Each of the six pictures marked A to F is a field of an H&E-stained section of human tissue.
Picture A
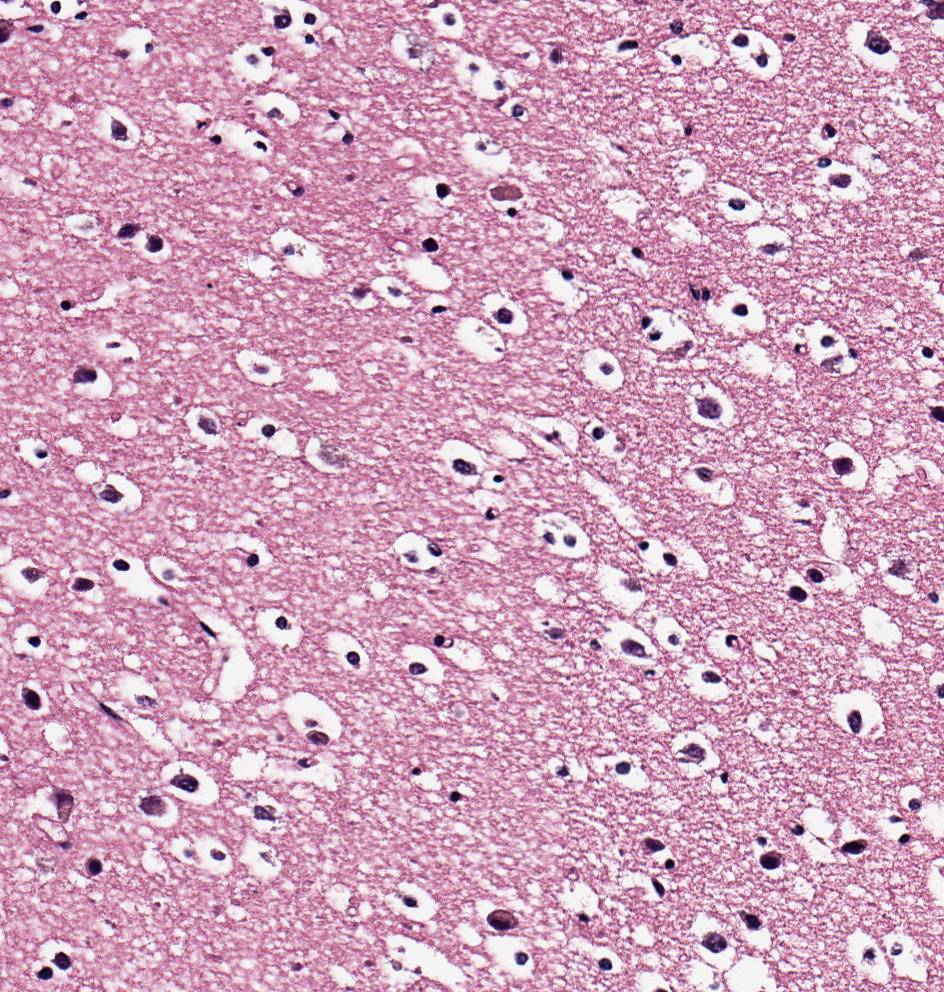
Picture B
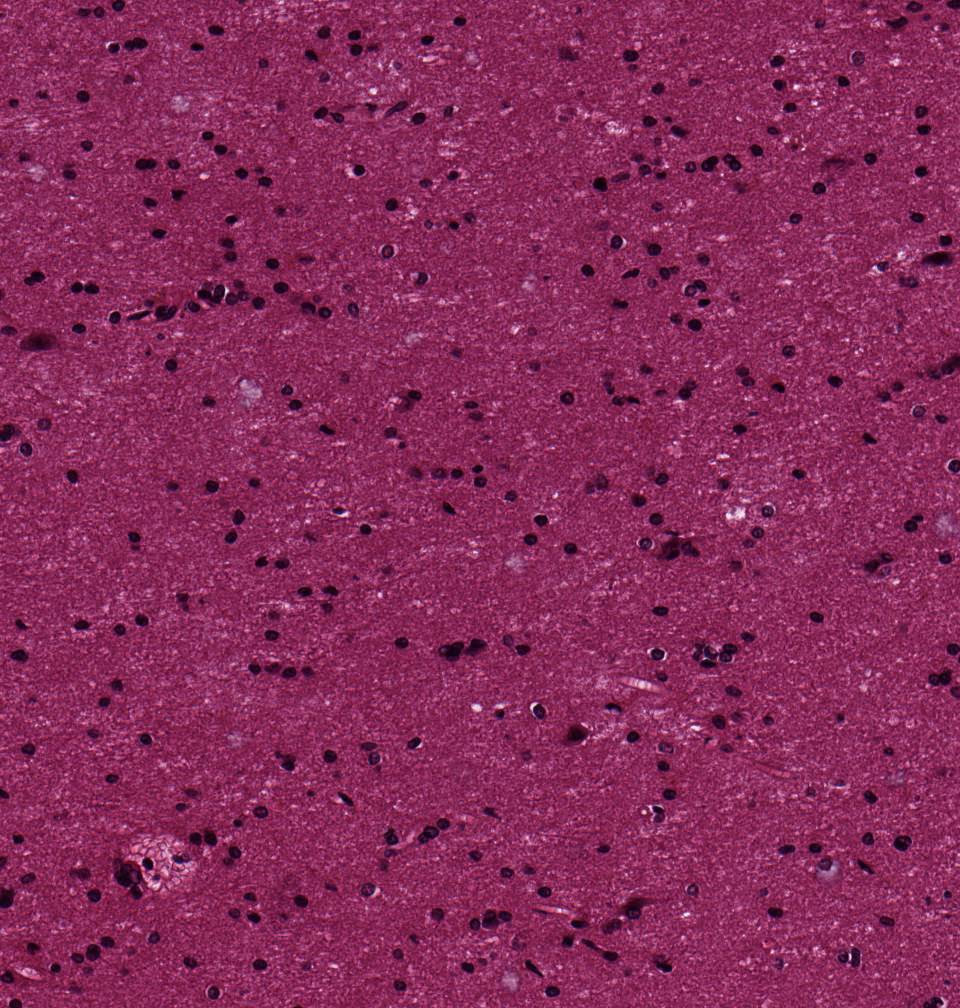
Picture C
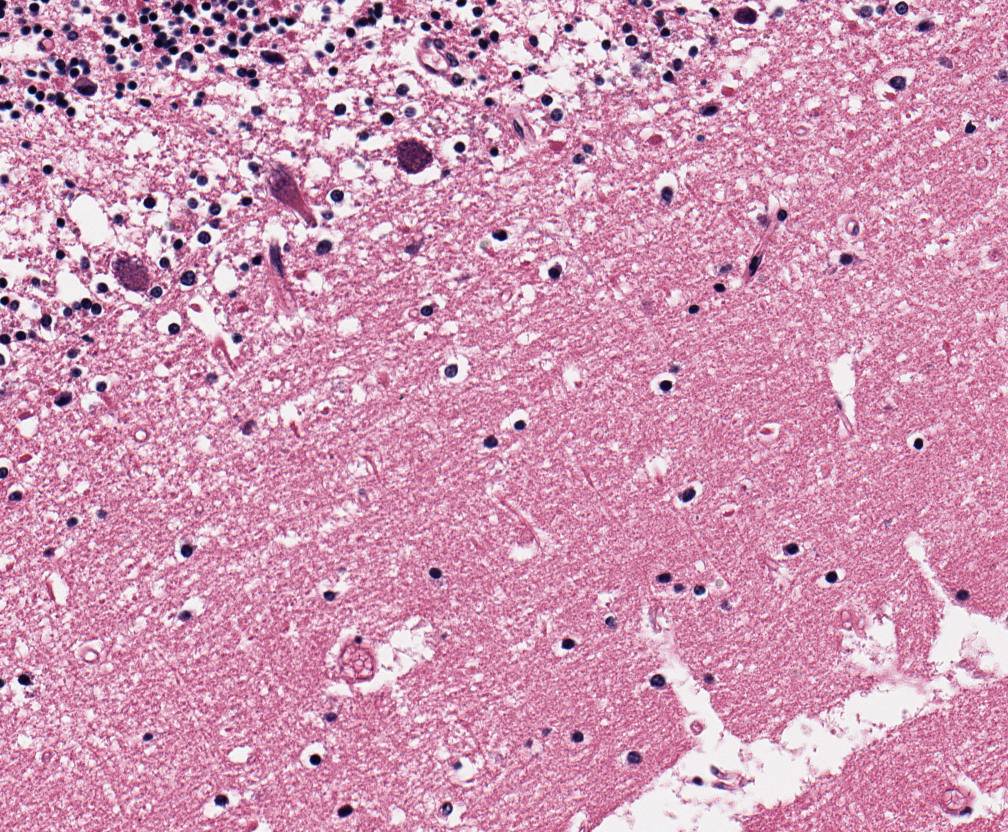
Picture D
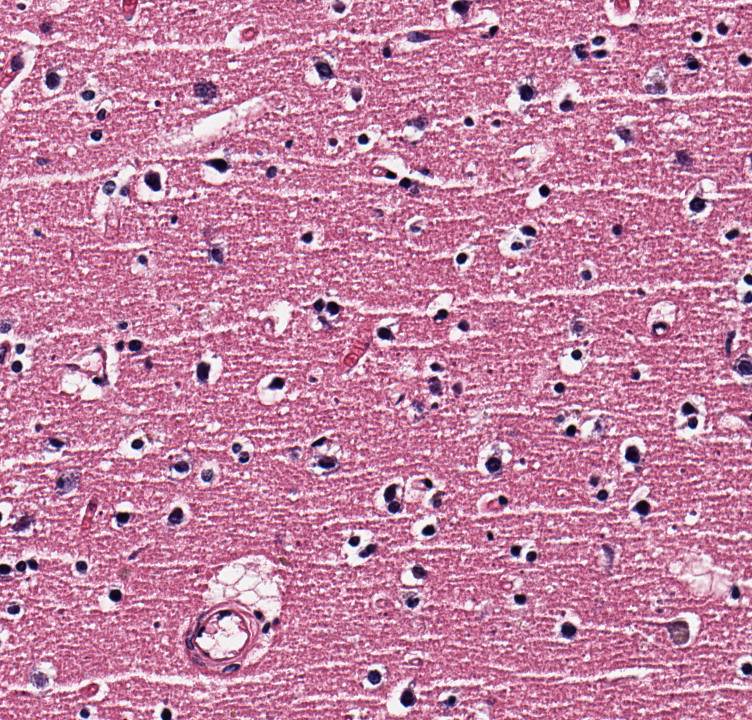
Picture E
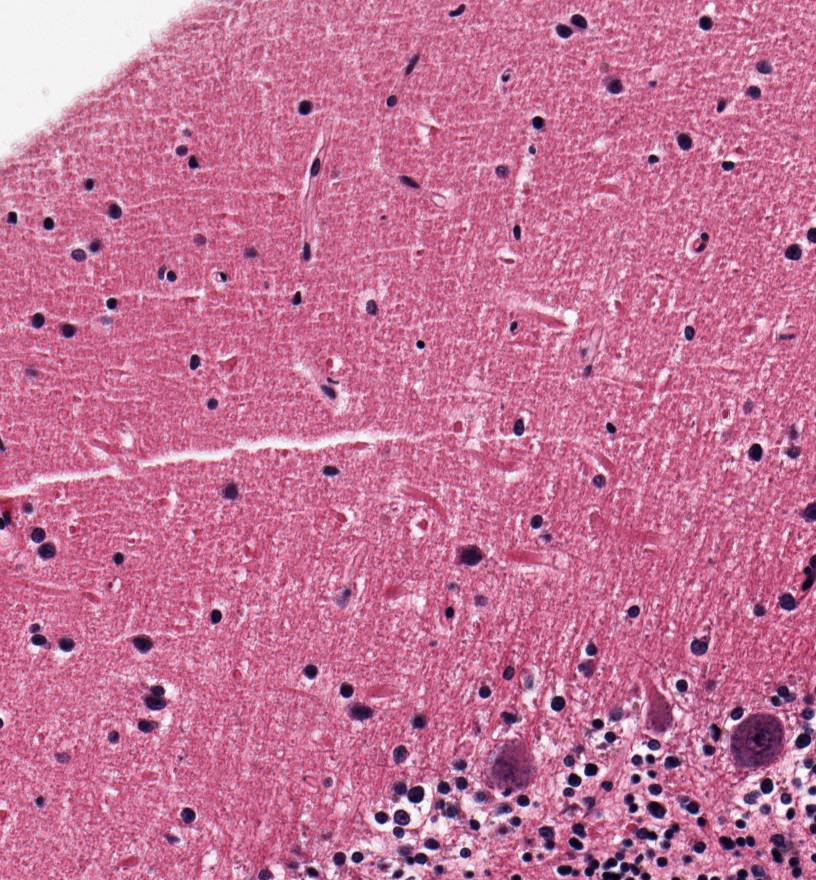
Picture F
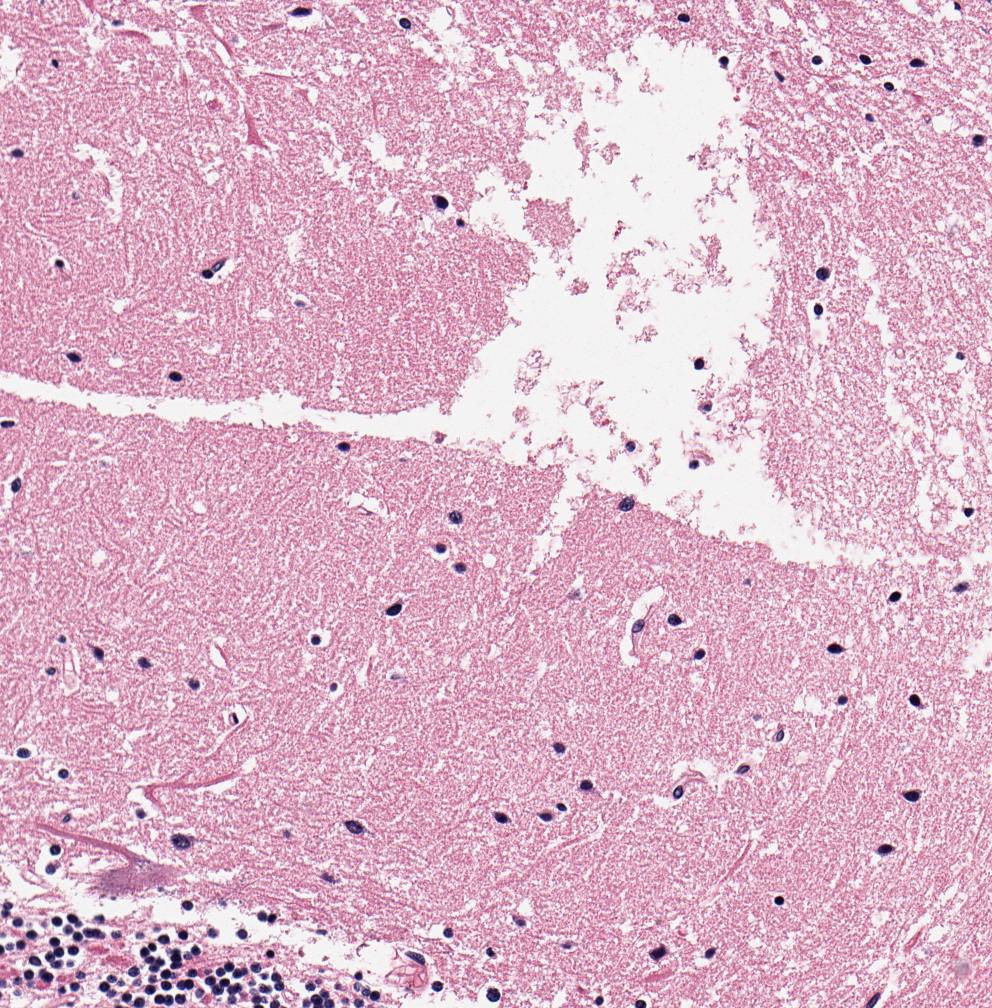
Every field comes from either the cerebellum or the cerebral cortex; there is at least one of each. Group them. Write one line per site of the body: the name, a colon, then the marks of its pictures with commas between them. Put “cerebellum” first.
cerebellum: C, E, F
cerebral cortex: A, B, D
